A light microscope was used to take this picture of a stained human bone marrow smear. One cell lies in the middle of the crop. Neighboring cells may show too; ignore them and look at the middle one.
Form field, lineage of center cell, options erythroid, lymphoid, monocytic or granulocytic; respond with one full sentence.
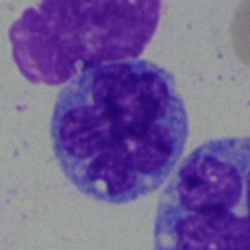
From the monocytic lineage comes the cell in the middle of the crop.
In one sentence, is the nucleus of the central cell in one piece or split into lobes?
Counting the nuclear lobes gives a total of at least two.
